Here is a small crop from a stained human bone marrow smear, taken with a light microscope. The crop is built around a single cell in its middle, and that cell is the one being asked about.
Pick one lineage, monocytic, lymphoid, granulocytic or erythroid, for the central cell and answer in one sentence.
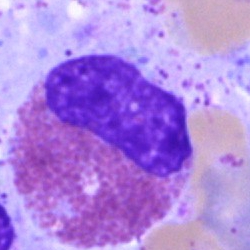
Regarding lineage, the cell in the center of this crop should be listed as granulocytic.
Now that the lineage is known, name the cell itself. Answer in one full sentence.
What sits at the centre of this crop is an eosinophil.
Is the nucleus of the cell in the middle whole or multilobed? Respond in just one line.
If you check the nucleus, you will find one compact mass, round, oval or kidney-shaped.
